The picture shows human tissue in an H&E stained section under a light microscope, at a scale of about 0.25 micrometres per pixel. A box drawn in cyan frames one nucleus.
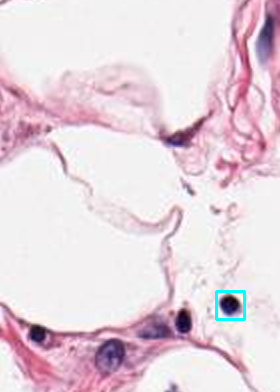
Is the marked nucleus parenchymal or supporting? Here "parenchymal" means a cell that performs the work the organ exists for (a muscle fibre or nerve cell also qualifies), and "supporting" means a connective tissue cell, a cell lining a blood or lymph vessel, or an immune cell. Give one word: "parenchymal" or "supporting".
supporting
